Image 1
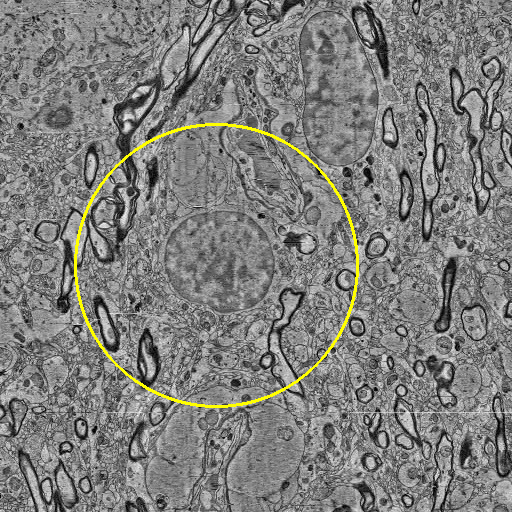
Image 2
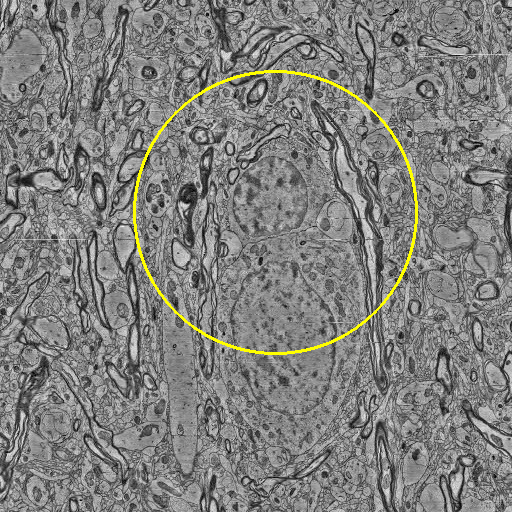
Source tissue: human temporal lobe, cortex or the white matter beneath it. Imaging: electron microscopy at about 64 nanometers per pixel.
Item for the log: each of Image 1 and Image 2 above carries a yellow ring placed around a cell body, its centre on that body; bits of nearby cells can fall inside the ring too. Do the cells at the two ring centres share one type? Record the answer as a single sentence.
Yes, the two cells at the ring centres in Image 1 and Image 2 share one type.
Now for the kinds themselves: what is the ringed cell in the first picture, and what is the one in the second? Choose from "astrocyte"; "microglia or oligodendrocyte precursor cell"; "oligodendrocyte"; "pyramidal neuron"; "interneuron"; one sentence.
Each of the two pictures has an oligodendrocyte at the ring centre.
